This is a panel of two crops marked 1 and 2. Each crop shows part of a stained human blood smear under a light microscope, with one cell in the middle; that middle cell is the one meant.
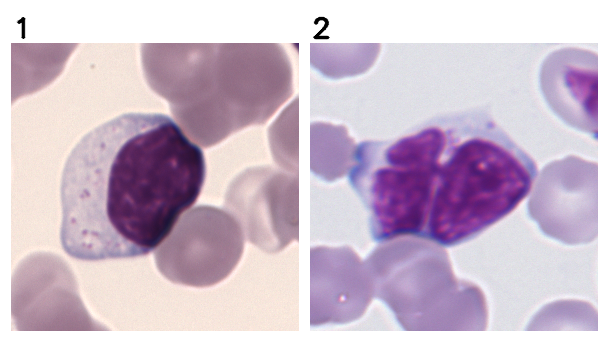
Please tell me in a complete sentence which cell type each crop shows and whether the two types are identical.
Yes, both crops do show large granular lymphocytes in the middle.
